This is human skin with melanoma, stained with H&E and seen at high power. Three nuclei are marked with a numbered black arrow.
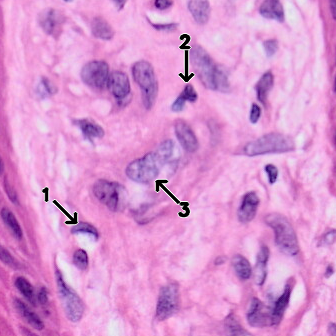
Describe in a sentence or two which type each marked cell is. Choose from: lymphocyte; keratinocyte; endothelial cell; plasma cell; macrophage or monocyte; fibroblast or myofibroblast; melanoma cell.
Cell 1 is a fibroblast or myofibroblast. Cell 2 is a lymphocyte. Cell 3 is an endothelial cell.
